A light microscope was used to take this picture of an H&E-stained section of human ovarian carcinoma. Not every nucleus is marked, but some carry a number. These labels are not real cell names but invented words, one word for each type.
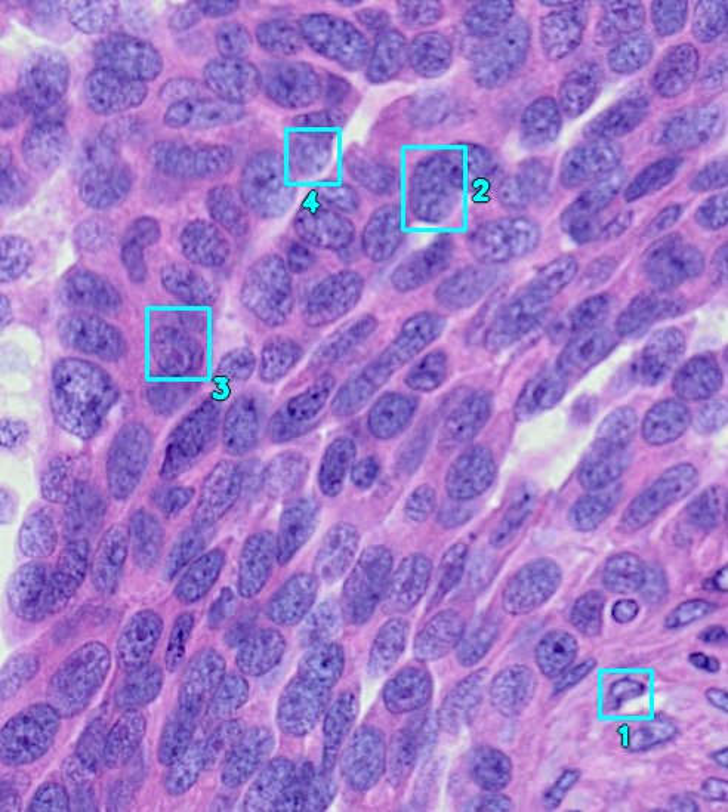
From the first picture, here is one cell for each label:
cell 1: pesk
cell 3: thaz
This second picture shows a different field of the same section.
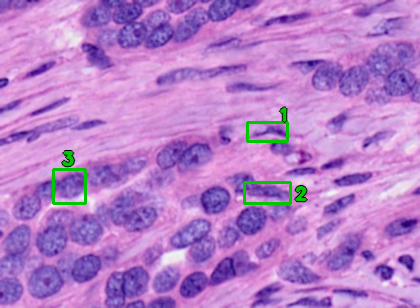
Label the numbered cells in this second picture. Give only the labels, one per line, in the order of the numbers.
pesk
pesk
thaz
